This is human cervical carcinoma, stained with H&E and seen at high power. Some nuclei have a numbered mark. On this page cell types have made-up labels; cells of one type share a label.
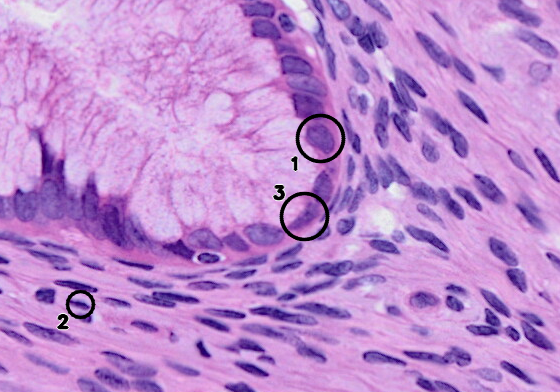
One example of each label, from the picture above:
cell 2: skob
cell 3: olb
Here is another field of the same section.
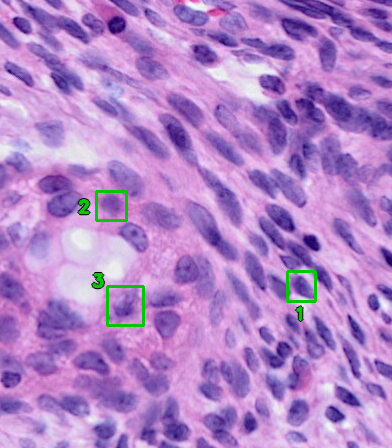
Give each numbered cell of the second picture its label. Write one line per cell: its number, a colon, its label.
1: skob
2: olb
3: olb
